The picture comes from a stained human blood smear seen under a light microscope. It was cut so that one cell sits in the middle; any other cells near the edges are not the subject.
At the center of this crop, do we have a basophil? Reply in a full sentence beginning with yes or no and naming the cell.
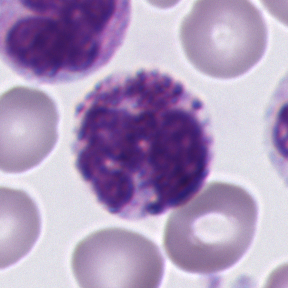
Yes, the central element of the crop is a basophil.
